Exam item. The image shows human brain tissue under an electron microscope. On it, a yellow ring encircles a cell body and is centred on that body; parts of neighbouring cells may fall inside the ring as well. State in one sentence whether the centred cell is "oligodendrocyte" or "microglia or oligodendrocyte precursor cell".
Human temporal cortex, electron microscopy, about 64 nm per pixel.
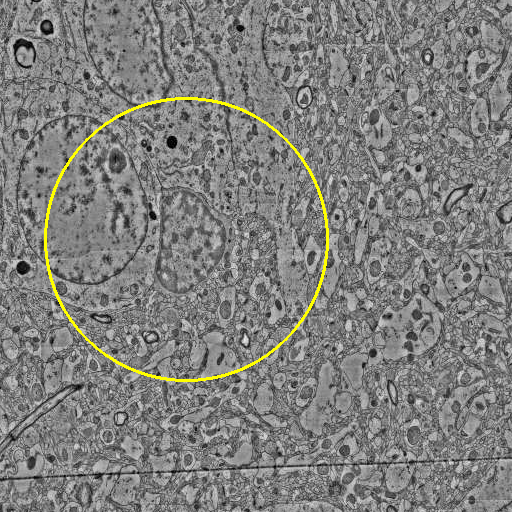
The cell body centred in the ring is an oligodendrocyte.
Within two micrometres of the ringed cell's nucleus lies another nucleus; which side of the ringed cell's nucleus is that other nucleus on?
The other nucleus is found to the upper left of it.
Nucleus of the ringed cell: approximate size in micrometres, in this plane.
About 7 by 4 micrometers in this plane, so the nucleus is clearly longer than it is wide.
